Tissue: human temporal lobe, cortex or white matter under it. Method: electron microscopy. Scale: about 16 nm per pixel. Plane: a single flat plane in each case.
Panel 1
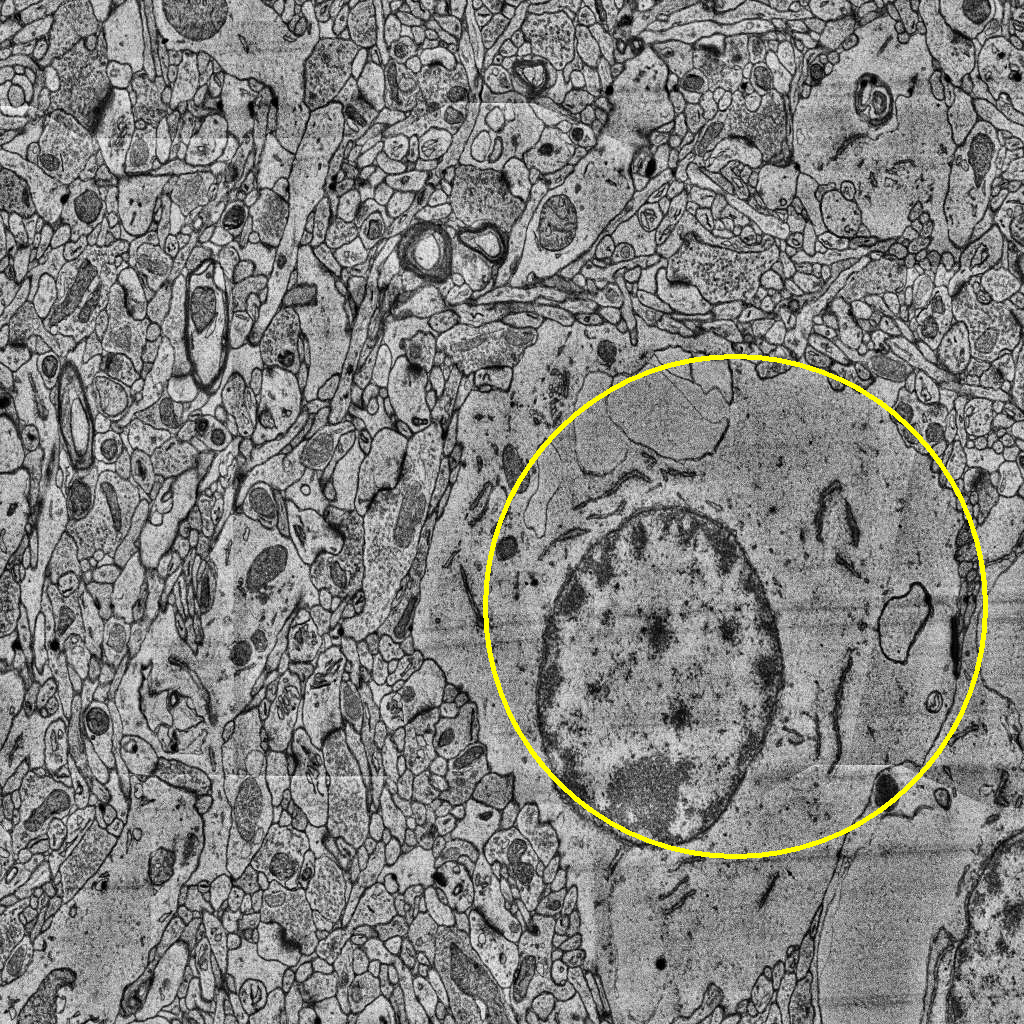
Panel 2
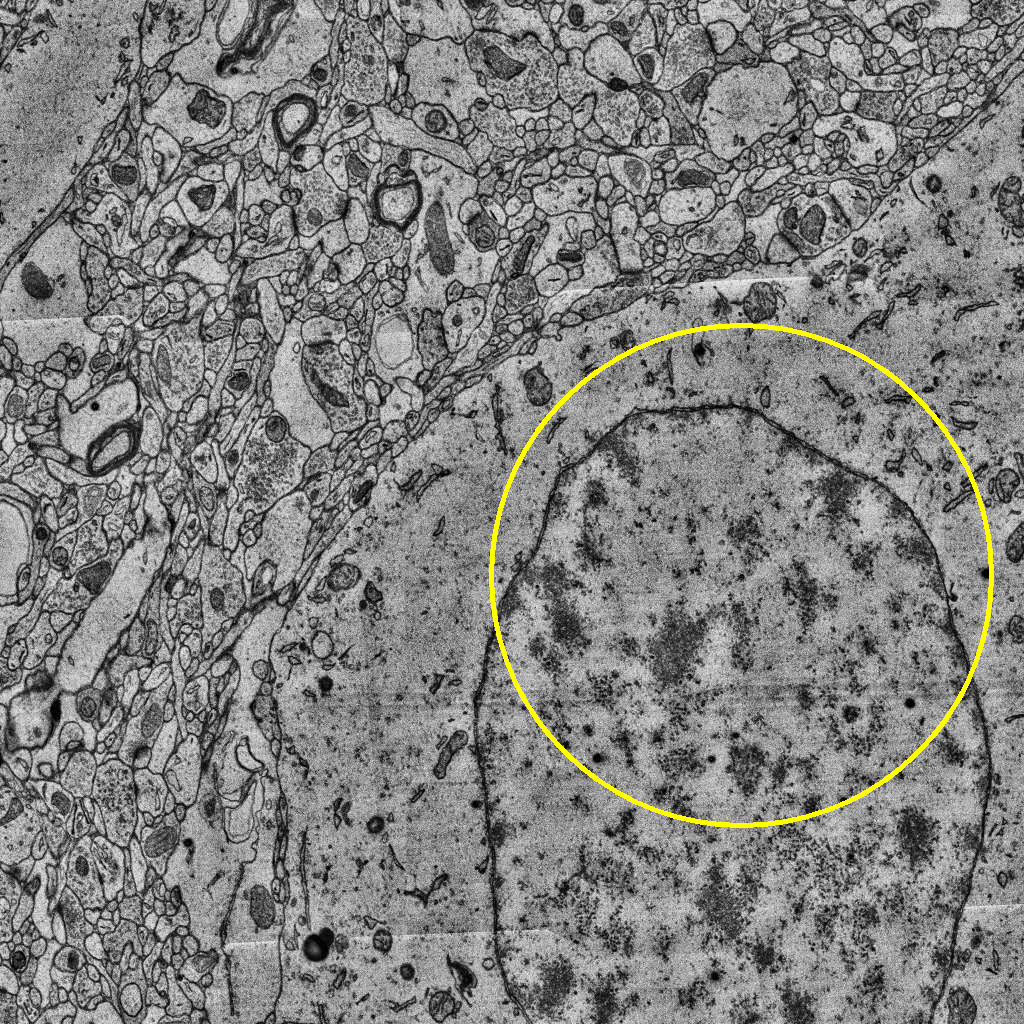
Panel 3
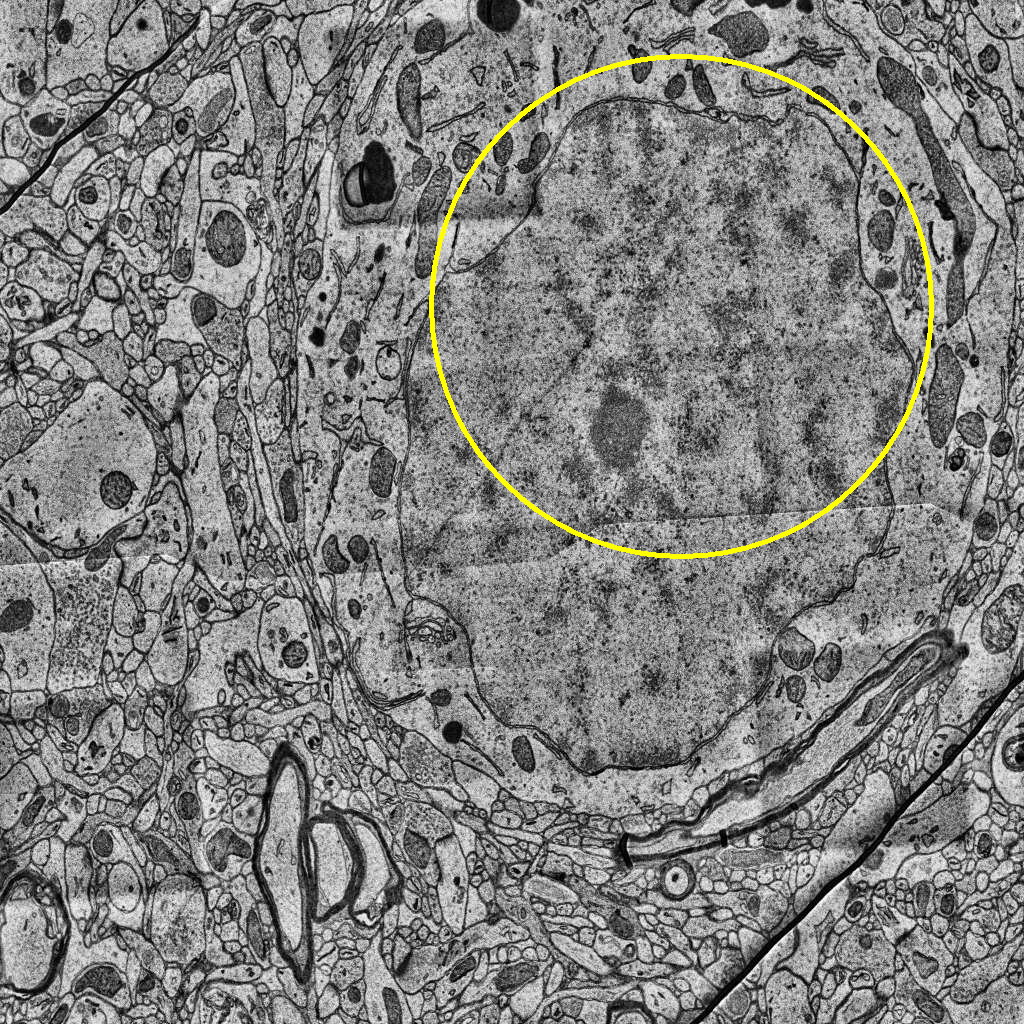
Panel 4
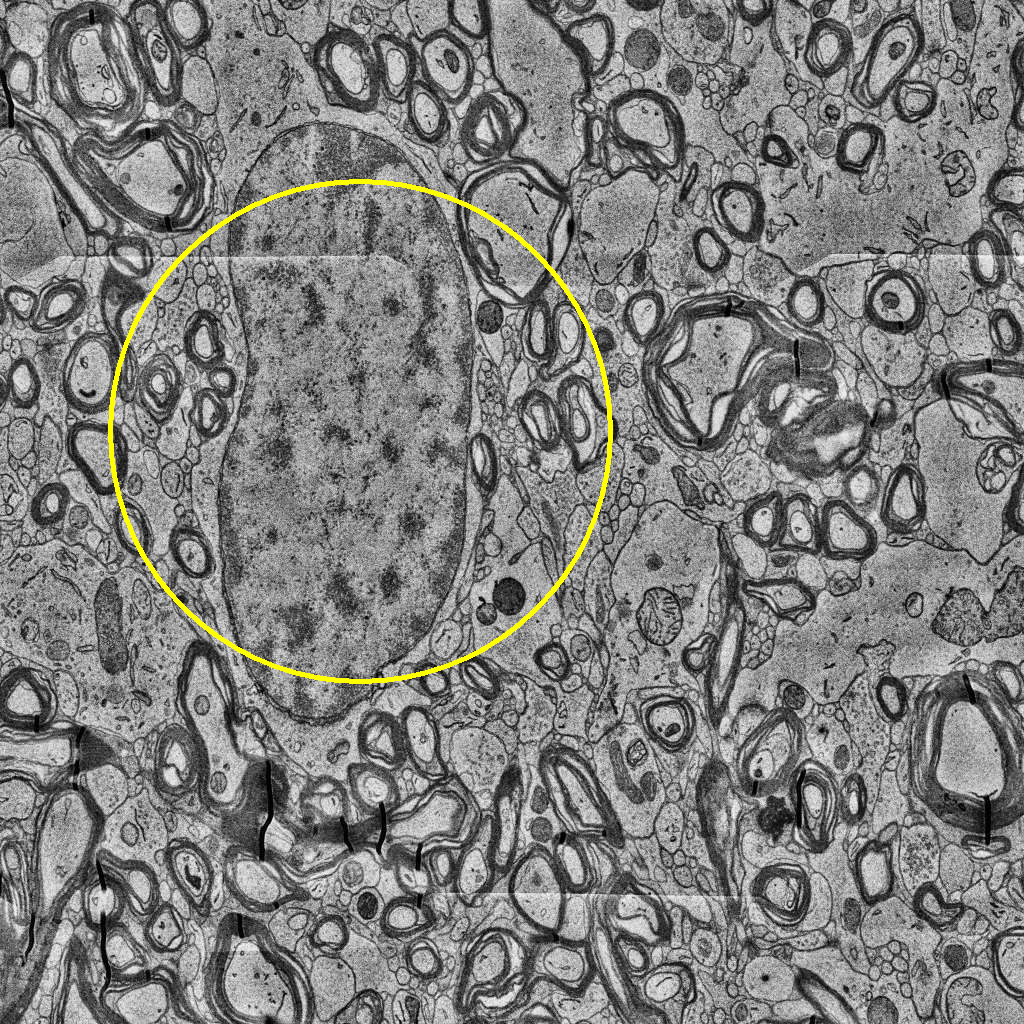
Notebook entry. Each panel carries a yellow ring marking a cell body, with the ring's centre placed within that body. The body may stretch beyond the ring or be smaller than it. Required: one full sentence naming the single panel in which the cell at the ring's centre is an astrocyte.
Panel 1 is the single one with the ring's centre inside the sought cell.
